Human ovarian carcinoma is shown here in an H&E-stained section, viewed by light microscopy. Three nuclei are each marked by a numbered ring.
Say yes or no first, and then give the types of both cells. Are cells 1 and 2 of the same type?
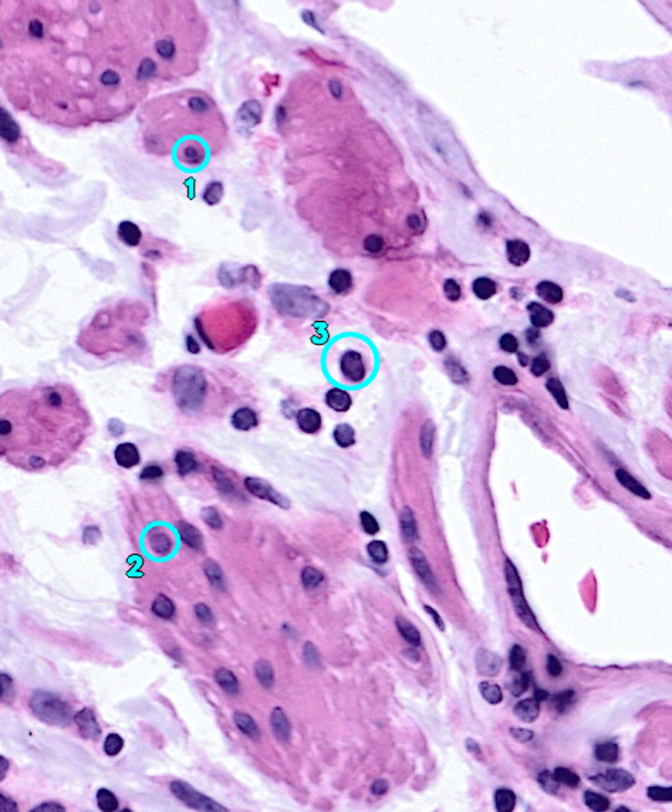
Yes, both are smooth muscle cells.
